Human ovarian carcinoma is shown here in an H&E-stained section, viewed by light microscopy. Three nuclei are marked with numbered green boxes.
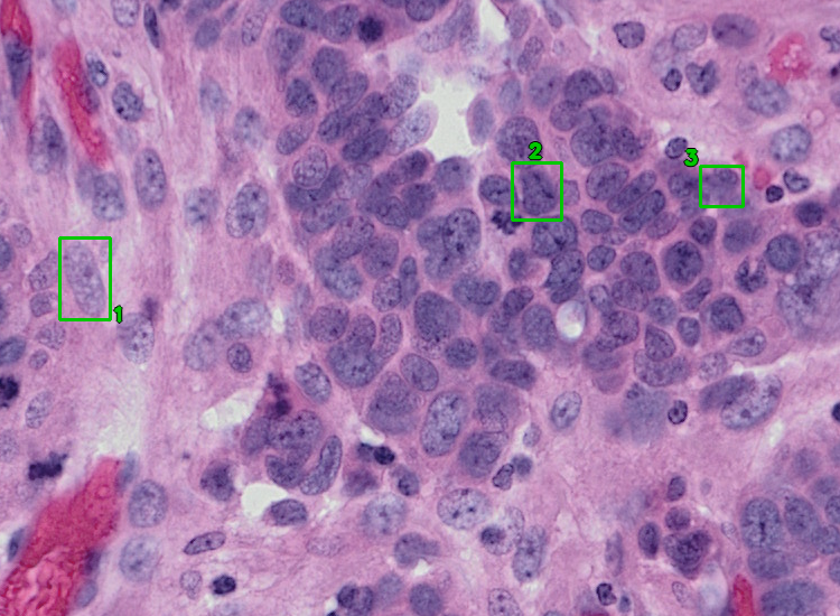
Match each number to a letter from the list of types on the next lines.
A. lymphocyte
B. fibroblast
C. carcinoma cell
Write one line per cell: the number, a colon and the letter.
1: B
2: C
3: C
